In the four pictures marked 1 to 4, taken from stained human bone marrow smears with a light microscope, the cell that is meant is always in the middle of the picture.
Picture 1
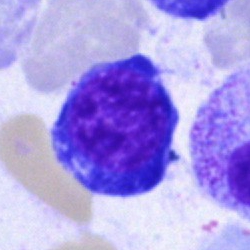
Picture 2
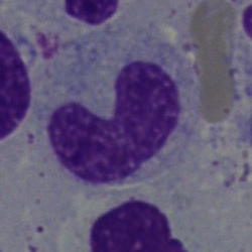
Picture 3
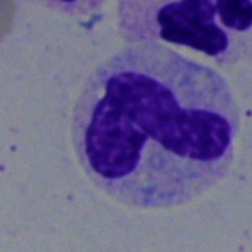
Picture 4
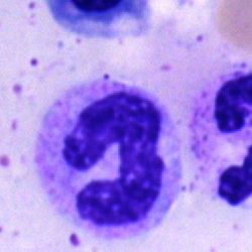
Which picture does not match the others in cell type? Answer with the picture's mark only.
1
